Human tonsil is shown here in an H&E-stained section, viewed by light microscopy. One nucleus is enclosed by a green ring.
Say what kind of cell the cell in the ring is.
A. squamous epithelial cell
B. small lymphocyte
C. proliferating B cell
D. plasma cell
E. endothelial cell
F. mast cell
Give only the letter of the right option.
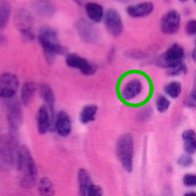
F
